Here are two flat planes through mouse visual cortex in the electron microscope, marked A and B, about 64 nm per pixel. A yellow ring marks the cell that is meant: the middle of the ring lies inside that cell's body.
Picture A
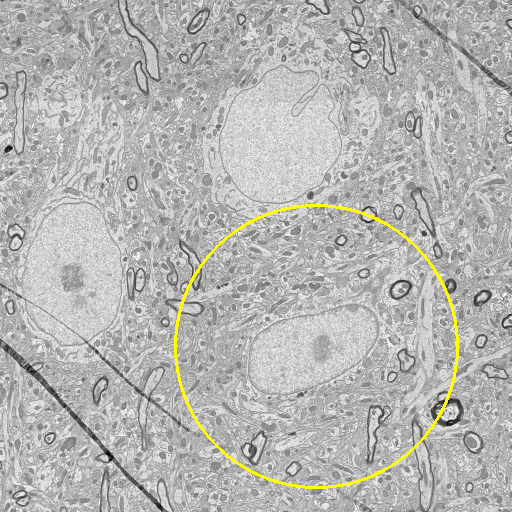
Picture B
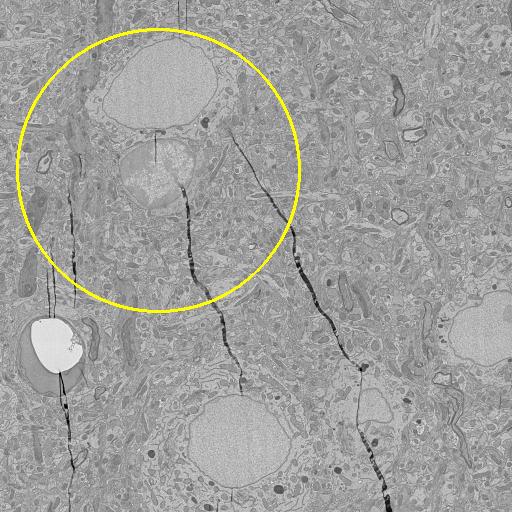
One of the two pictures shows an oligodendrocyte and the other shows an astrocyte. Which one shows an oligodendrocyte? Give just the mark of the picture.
B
